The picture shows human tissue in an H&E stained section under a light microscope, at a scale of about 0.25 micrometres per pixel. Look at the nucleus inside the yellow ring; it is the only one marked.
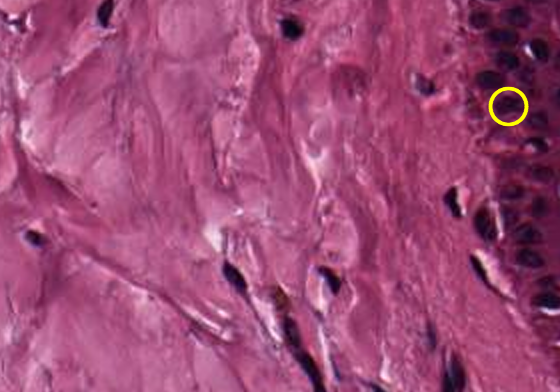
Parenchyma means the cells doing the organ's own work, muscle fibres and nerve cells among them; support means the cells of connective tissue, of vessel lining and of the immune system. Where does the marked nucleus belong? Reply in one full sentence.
The marked nucleus is that of a cell of the parenchyma, namely a keratinocyte.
